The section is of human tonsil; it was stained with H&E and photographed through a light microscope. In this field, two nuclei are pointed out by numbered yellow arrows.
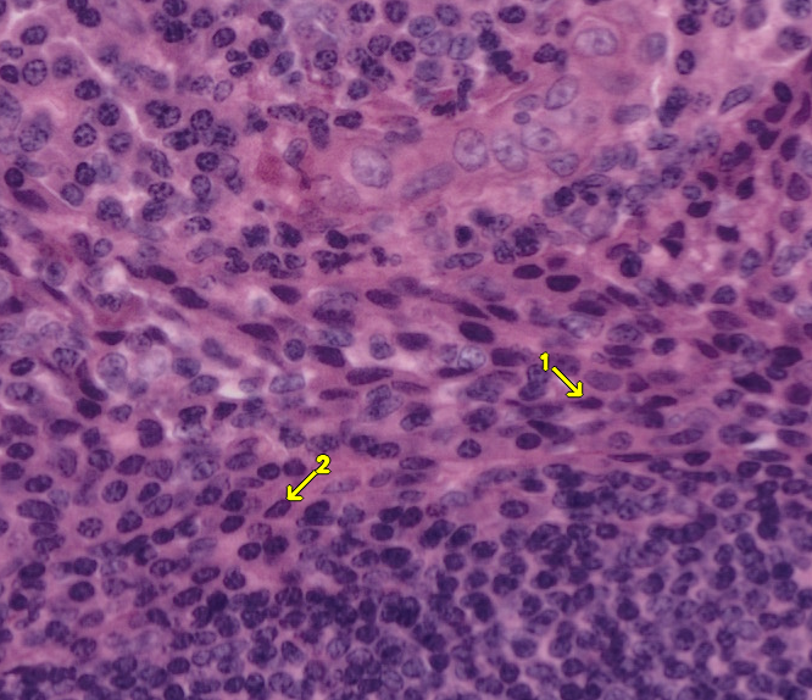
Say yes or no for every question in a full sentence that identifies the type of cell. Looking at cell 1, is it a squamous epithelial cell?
Yes, number 1 in this section denotes a squamous epithelial cell.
